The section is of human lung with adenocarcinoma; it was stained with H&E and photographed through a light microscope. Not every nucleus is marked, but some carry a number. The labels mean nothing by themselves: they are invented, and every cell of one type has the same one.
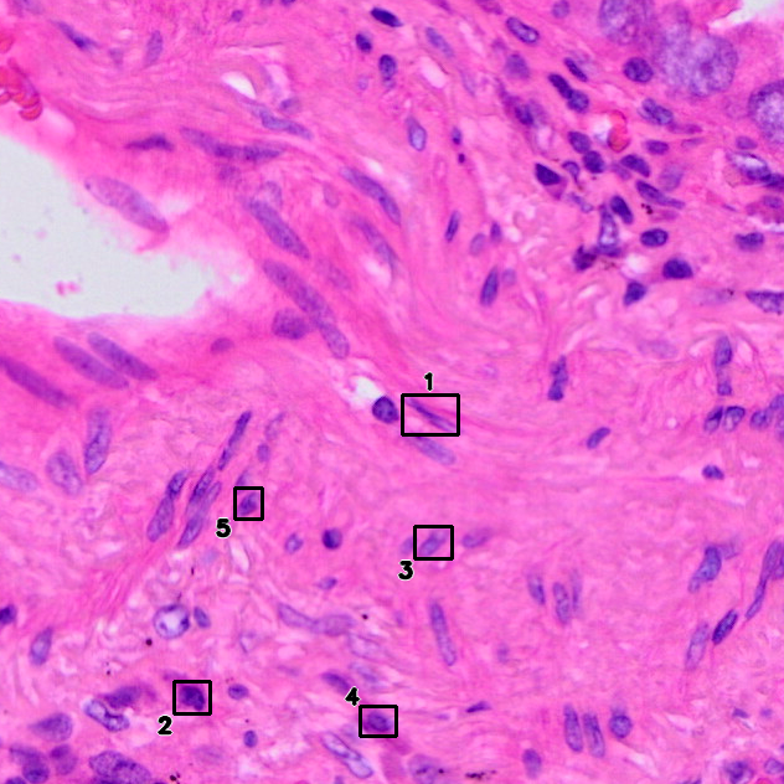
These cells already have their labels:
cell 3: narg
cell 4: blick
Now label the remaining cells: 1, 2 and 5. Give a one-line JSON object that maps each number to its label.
{"1": "narg", "2": "blick", "5": "narg"}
